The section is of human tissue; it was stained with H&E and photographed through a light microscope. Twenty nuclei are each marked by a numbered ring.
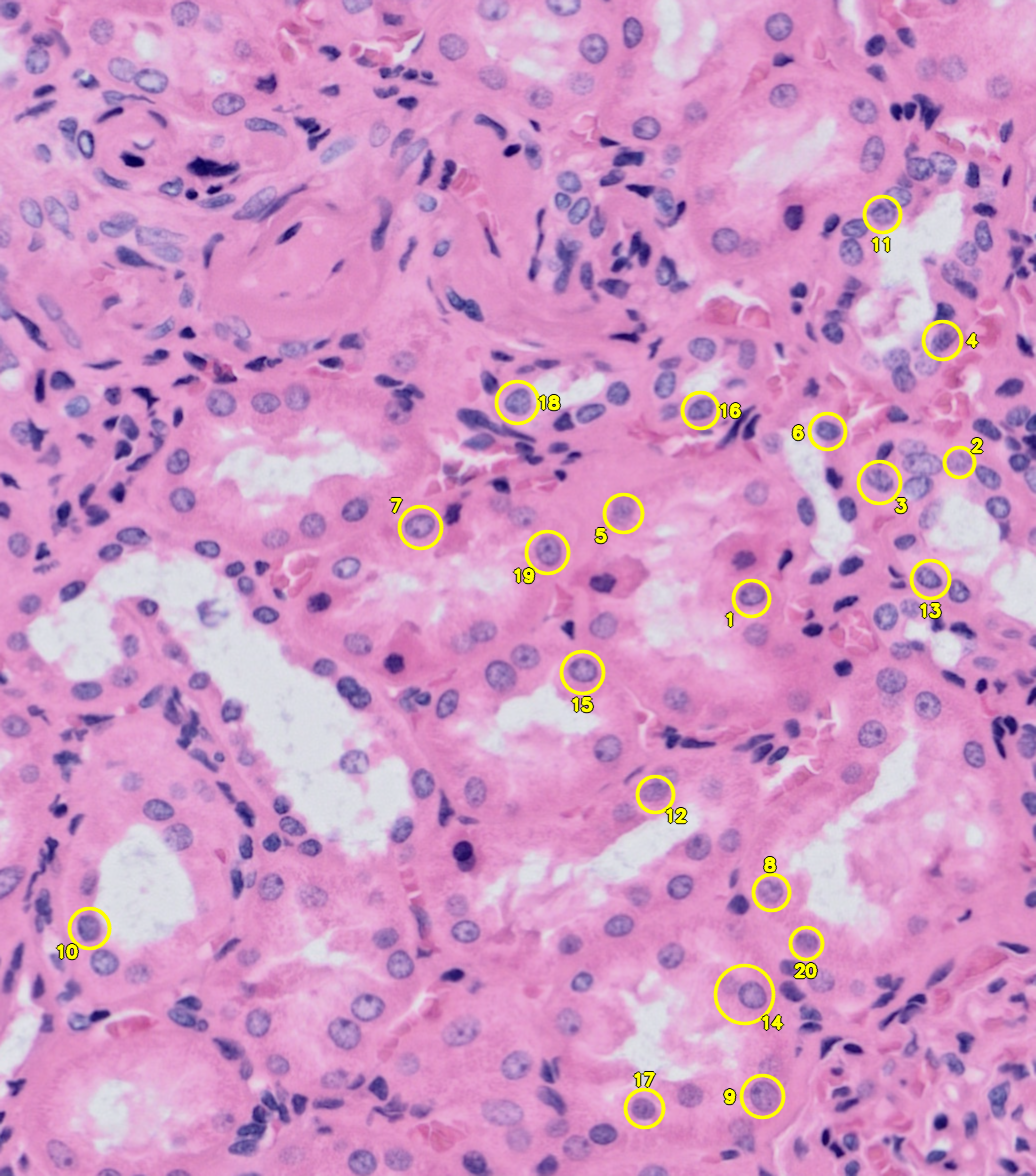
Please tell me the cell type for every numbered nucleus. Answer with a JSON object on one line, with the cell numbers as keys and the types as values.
{"1": "proximal tubule cell", "2": "collecting duct cell", "3": "collecting duct cell", "4": "collecting duct cell", "5": "proximal tubule cell", "6": "loop of Henle or distal tubule cell", "7": "proximal tubule cell", "8": "proximal tubule cell", "9": "proximal tubule cell", "10": "loop of Henle or distal tubule cell", "11": "collecting duct cell", "12": "proximal tubule cell", "13": "collecting duct cell", "14": "proximal tubule cell", "15": "proximal tubule cell", "16": "collecting duct cell", "17": "proximal tubule cell", "18": "collecting duct cell", "19": "proximal tubule cell", "20": "proximal tubule cell"}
